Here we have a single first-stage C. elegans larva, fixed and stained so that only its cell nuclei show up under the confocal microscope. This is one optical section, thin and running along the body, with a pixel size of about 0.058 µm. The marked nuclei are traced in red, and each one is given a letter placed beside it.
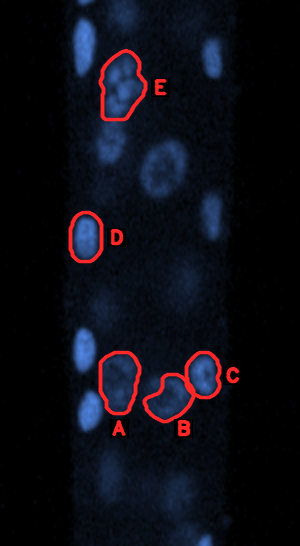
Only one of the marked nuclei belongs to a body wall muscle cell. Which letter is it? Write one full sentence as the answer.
The one from a body wall muscle cell is C.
